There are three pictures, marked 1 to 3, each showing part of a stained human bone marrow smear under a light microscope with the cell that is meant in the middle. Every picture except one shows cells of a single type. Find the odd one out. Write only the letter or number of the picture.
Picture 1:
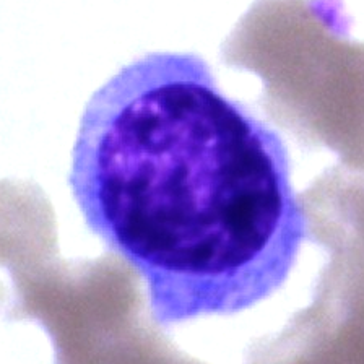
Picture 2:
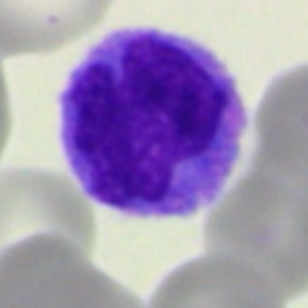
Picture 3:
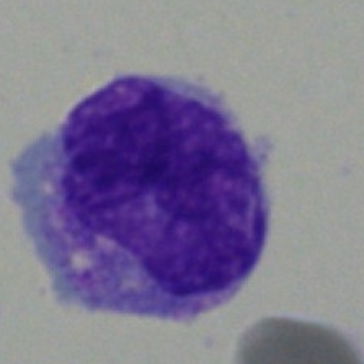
1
